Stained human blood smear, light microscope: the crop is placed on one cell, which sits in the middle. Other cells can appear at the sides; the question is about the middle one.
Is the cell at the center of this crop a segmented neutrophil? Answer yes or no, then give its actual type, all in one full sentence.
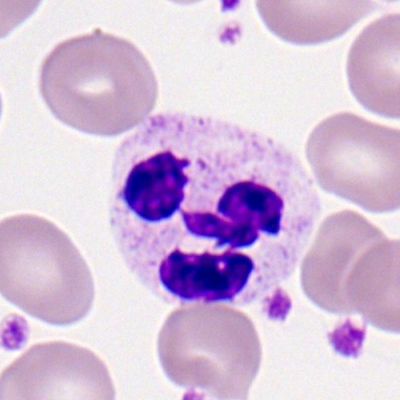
Yes, the cell in the middle is rightly called a segmented neutrophil.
